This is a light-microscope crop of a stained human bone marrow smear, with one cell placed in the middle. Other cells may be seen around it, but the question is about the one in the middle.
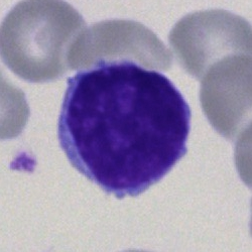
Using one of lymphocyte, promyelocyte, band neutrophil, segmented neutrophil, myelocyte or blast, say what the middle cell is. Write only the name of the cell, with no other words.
lymphocyte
